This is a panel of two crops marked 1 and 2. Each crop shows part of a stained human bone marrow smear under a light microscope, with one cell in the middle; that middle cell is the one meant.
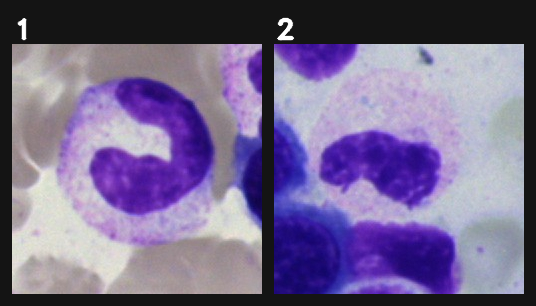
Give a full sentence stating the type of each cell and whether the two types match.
Yes, both crops have band neutrophils at the centre.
